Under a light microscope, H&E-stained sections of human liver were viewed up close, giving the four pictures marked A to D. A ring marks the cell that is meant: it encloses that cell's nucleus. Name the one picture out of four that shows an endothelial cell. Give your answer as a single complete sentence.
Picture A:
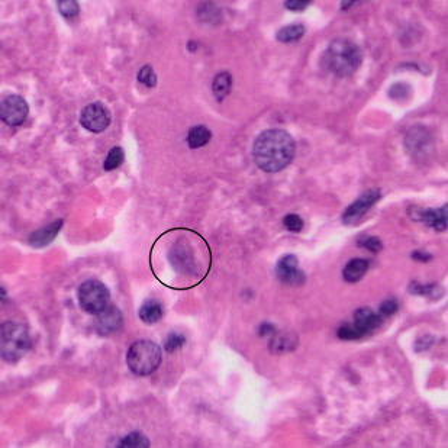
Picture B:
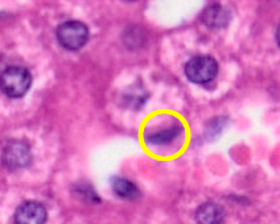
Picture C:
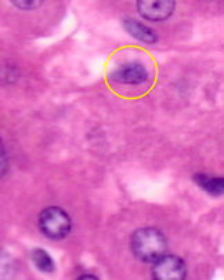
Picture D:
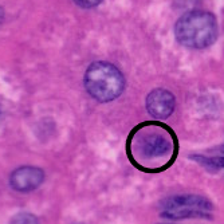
Picture A is the one that shows the endothelial cell.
